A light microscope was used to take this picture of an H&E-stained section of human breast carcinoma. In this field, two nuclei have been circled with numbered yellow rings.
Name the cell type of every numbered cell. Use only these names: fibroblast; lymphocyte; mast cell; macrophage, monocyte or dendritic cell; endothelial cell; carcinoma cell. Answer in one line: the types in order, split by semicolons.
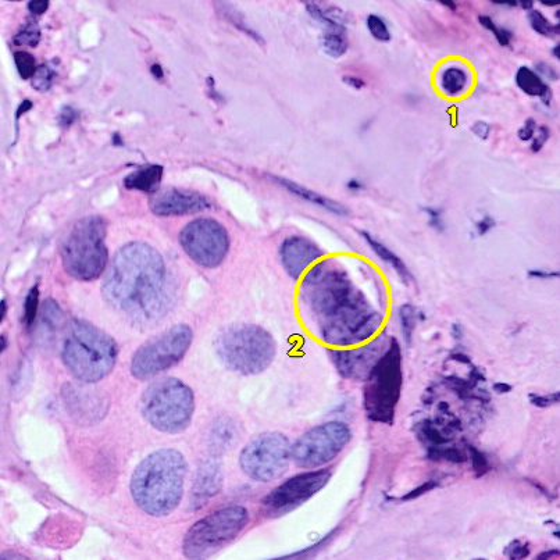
lymphocyte; carcinoma cell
